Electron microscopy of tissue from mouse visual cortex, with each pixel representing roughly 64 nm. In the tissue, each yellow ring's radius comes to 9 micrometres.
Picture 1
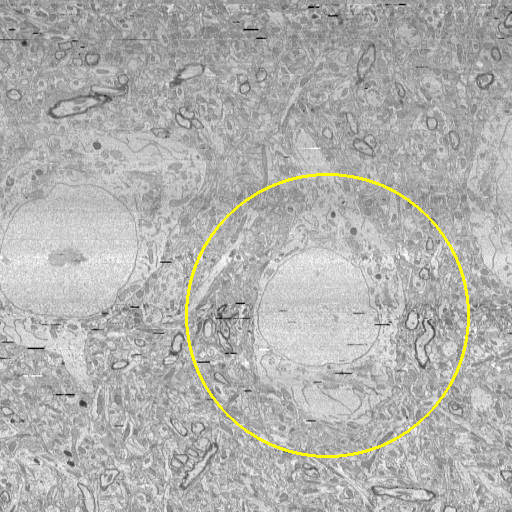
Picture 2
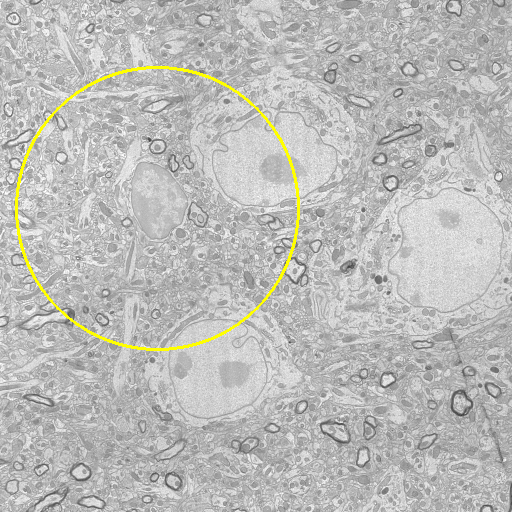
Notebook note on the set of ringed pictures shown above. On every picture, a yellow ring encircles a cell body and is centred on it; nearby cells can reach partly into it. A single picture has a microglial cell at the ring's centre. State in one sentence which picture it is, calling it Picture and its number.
Picture 2 is the one whose ring is centred on the sought cell.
